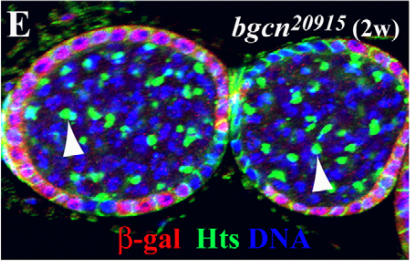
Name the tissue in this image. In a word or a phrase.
Egg chambers.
